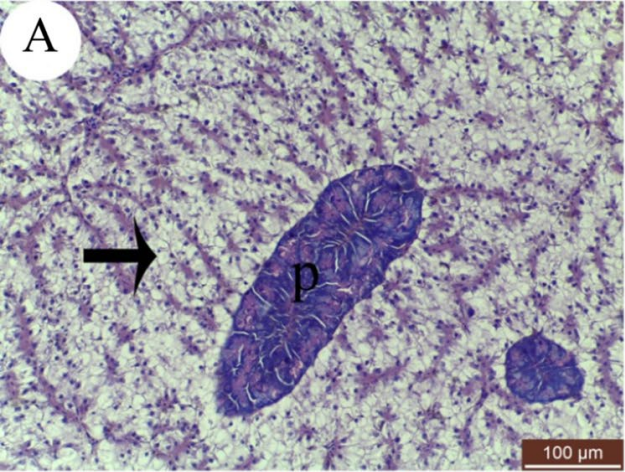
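Hepatopancreas with hepatocytes and pancreatic tissue. The hepatocytes are polygonal, with pale, clear, vacuolated cytoplasm and small dark nuclei, and are arranged in cords that run in radiating rows separated by thin pink strands. An elongated island of densely packed, deep purple-staining pancreatic tissue lies within the liver, with a second smaller round island nearby.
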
